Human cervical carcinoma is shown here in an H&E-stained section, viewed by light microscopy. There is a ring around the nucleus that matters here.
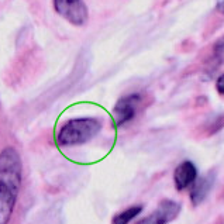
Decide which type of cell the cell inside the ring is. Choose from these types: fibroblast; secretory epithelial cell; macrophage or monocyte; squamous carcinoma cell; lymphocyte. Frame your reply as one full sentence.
The identity of the cell inside the ring is that of a macrophage or monocyte.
